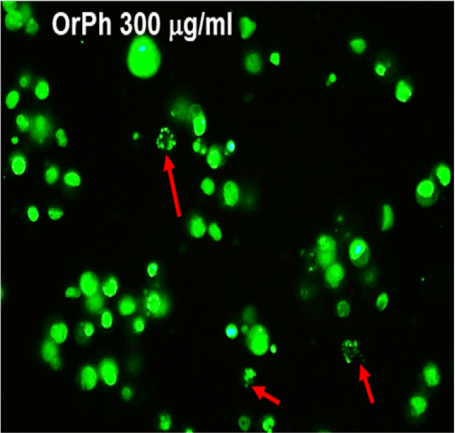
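These are cultured cells whose nuclei fluoresce green on a dark background, scattered singly or in small loose groups. Most nuclei are round to oval and evenly bright, though they vary in size and brightness. Several cells show a fragmented, granular pattern of small green dots in place of one smooth nucleus, the look of apoptotic bodies. A few nuclei carry a small bright blue-white spot. The field is sparse, with wide dark spaces between the cells.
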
